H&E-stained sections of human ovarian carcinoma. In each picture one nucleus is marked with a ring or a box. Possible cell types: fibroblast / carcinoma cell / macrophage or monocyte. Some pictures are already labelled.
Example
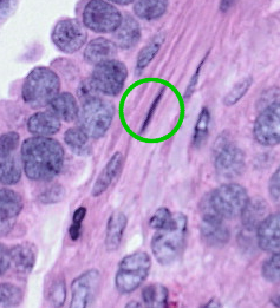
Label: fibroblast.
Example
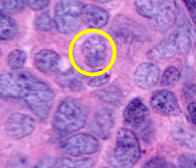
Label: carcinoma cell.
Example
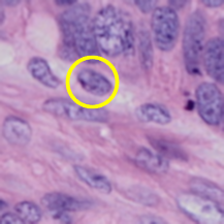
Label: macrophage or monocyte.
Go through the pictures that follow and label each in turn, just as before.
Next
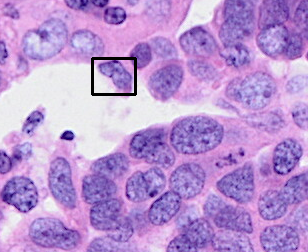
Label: macrophage or monocyte.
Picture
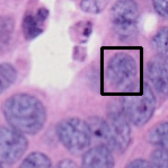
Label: carcinoma cell.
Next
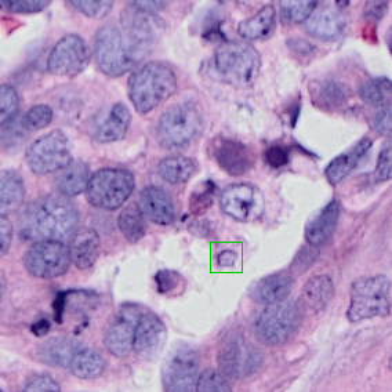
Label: macrophage or monocyte.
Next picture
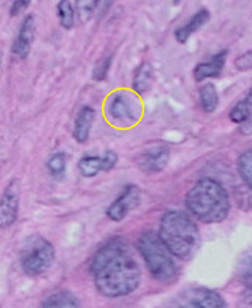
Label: fibroblast.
